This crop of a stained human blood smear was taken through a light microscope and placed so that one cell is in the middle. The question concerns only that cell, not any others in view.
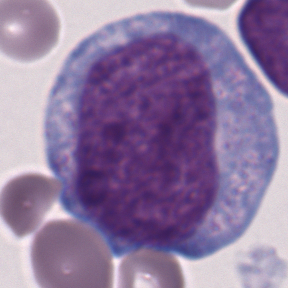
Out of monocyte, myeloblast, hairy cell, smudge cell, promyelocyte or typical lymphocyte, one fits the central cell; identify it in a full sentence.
In the centre of this crop there is a promyelocyte.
